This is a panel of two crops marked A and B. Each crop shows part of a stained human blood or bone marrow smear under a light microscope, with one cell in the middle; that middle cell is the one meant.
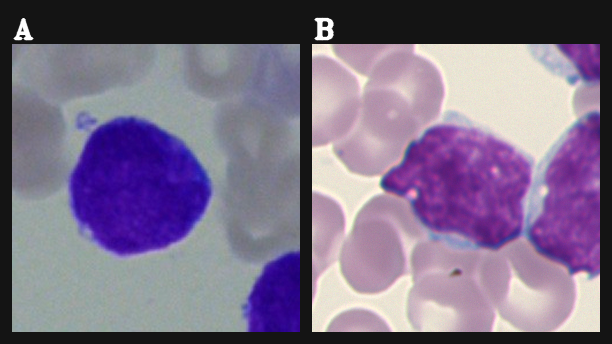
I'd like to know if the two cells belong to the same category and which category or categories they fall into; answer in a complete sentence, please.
No, it is in crop A that a blast is shown, and in crop B that a lymphocyte is shown.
